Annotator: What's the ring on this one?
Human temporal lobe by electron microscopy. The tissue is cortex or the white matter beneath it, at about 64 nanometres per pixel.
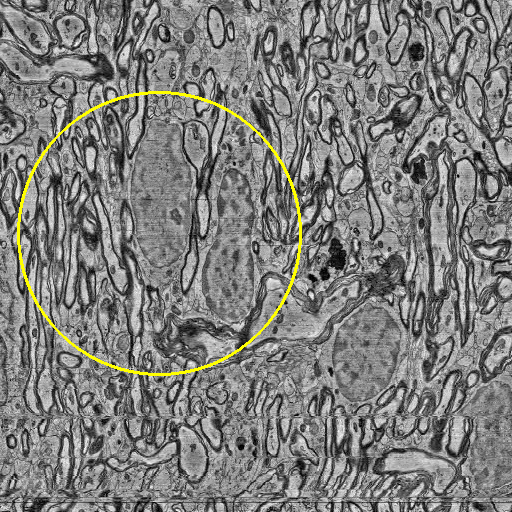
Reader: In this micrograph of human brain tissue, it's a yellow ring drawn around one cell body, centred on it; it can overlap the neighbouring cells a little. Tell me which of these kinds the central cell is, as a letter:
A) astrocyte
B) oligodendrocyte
B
